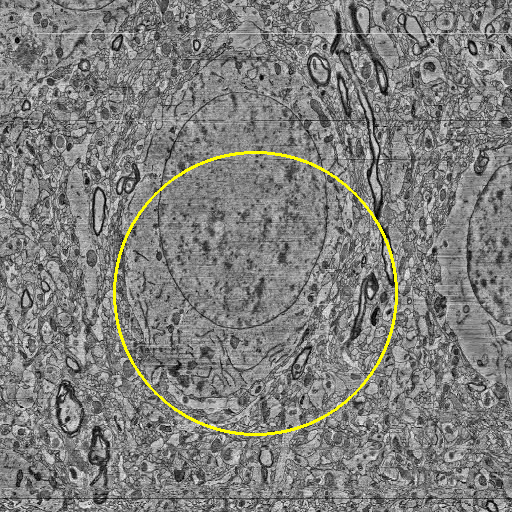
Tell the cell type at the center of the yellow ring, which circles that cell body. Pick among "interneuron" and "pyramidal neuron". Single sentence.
The ring is centered on the body of a pyramidal neuron.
